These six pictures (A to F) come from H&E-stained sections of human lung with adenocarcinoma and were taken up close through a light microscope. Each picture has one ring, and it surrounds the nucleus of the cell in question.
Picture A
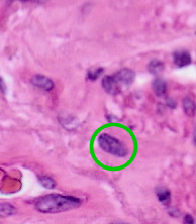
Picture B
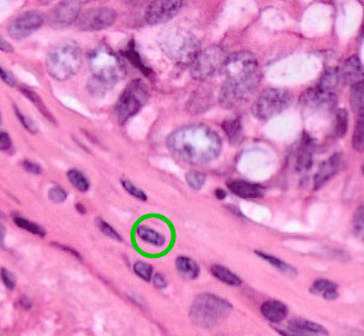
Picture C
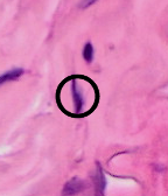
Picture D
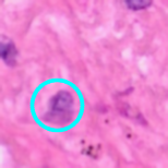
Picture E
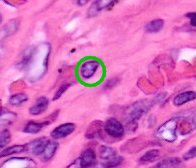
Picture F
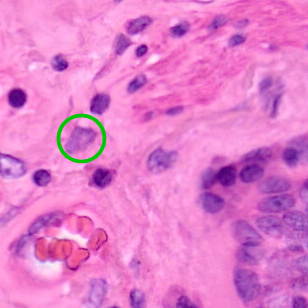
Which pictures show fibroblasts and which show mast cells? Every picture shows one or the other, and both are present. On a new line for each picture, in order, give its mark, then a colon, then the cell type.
A: mast cell
B: mast cell
C: fibroblast
D: fibroblast
E: mast cell
F: fibroblast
